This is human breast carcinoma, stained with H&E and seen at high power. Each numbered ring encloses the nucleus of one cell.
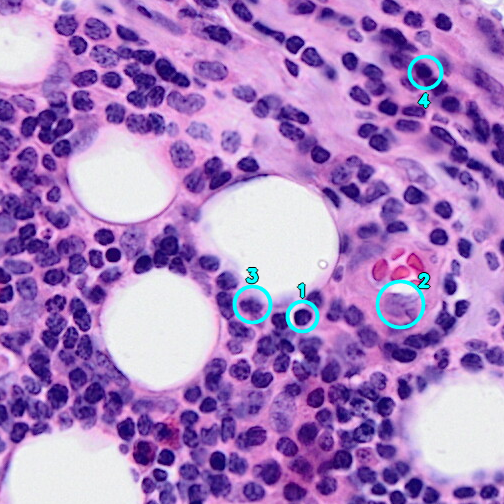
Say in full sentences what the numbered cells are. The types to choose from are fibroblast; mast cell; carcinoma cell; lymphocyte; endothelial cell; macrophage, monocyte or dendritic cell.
Cell 1 is a lymphocyte, cell 2 is an endothelial cell, cell 3 is a lymphocyte and cell 4 is a lymphocyte.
